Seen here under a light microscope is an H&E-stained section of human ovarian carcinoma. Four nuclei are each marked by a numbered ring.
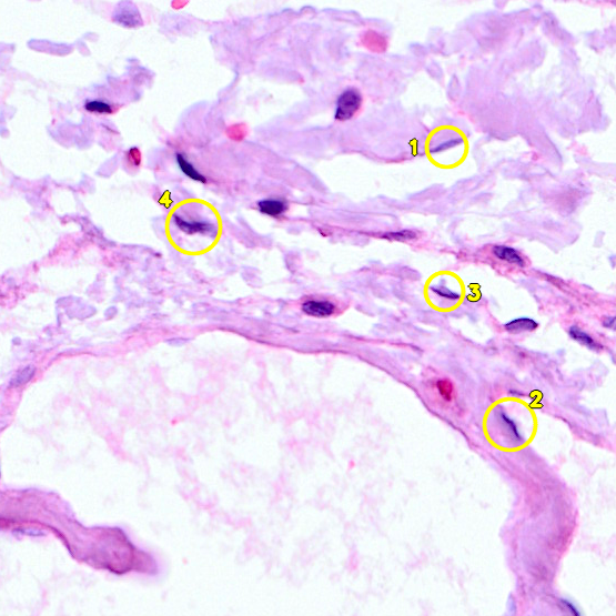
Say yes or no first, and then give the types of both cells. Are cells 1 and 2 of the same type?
No, the cell numbered 1 is a fibroblast and the cell numbered 2 is an endothelial cell.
